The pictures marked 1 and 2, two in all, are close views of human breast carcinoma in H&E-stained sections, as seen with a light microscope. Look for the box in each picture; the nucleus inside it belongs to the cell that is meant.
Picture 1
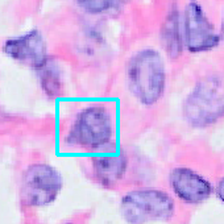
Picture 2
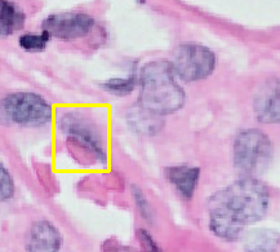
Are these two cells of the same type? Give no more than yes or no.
no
